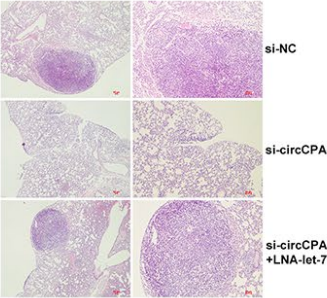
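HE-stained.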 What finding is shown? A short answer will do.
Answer: Lung metastatic nodules.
